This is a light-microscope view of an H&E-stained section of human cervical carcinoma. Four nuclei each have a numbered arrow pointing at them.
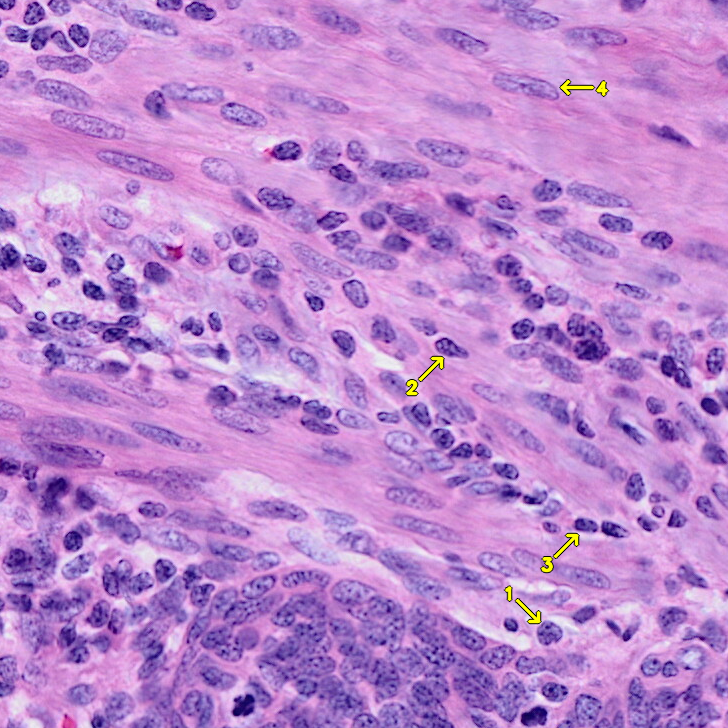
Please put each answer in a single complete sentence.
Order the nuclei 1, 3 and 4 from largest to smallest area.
Largest first, the order by area is 4, 1, 3.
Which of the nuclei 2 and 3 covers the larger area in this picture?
At about 1.5 times the area of nucleus 3, nucleus 2 is the larger of the two.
